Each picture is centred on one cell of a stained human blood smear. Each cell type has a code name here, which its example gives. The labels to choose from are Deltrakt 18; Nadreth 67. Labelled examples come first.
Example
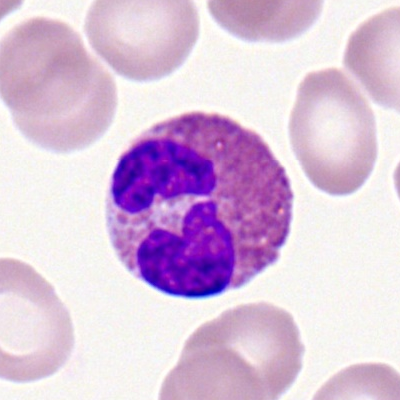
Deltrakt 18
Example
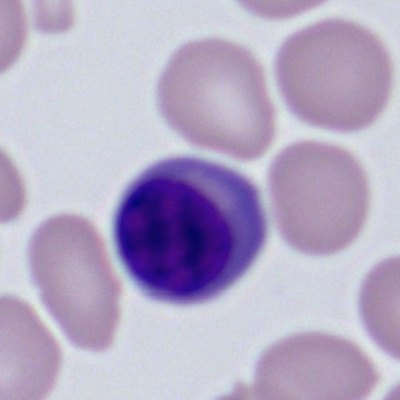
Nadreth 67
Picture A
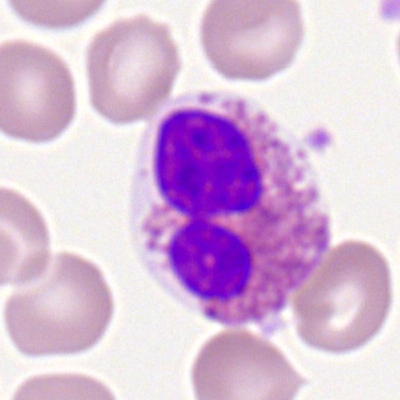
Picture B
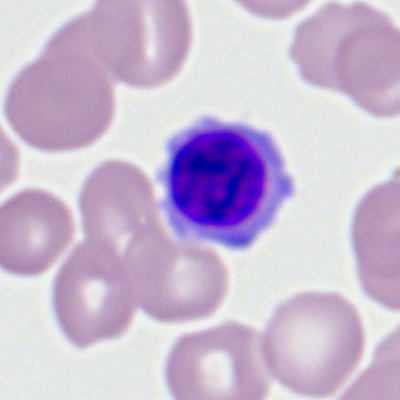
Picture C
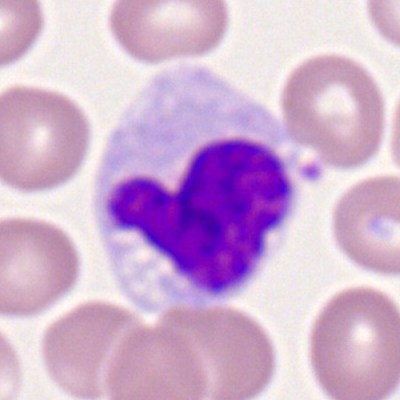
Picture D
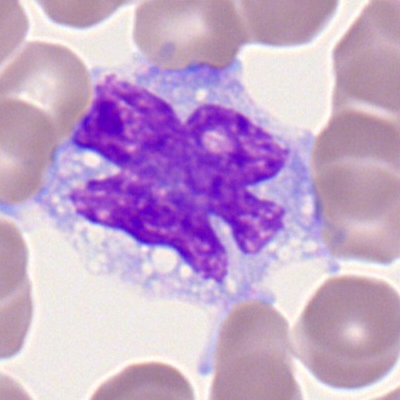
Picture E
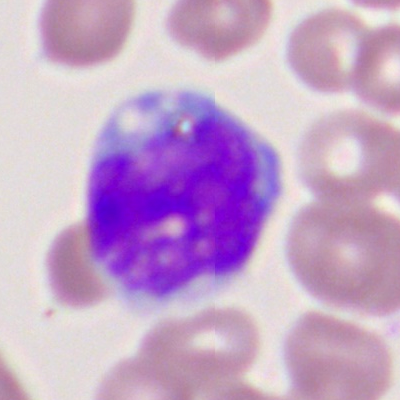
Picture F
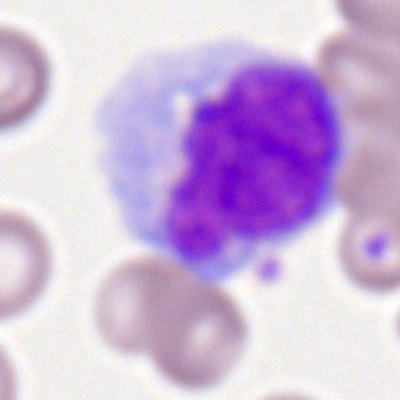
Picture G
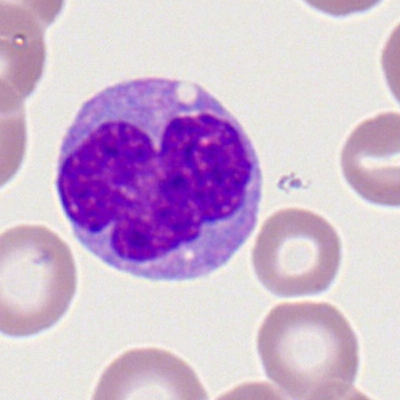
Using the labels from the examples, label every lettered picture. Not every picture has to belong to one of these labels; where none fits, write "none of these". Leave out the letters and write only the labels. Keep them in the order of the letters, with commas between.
Deltrakt 18, Nadreth 67, none of these, none of these, none of these, none of these, none of these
